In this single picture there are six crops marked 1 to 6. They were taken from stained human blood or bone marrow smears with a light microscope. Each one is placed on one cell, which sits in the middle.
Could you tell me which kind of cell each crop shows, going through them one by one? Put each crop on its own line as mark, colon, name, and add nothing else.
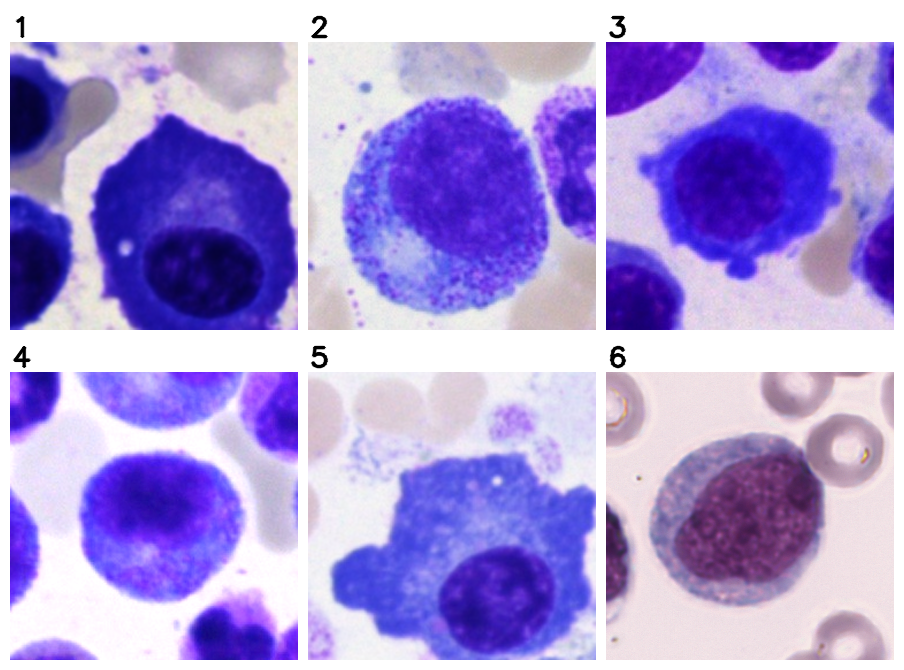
1: plasma cell
2: promyelocyte
3: plasma cell
4: promyelocyte
5: plasma cell
6: promyelocyte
